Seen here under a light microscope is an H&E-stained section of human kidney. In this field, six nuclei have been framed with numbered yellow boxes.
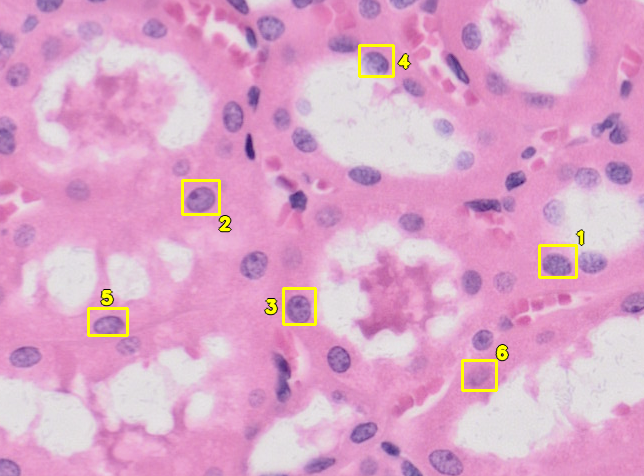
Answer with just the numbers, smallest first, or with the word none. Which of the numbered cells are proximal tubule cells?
2, 3, 5, 6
